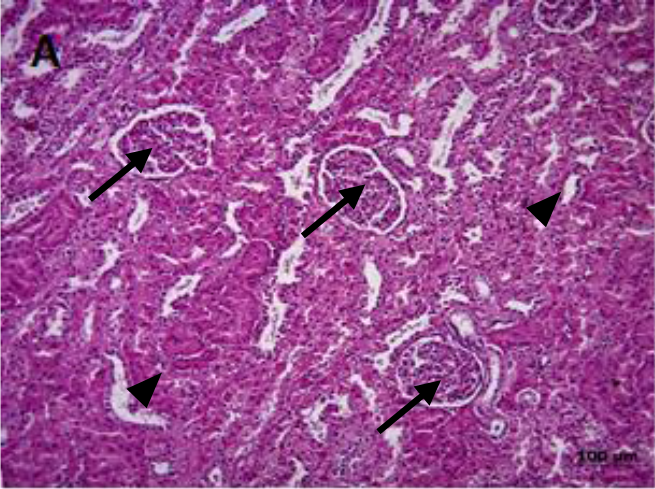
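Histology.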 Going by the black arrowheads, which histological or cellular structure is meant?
Tubules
